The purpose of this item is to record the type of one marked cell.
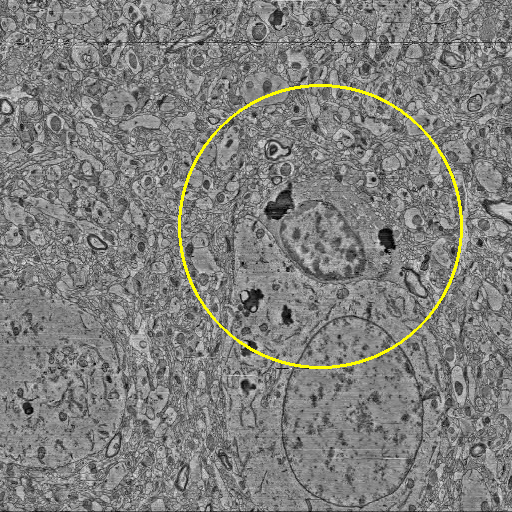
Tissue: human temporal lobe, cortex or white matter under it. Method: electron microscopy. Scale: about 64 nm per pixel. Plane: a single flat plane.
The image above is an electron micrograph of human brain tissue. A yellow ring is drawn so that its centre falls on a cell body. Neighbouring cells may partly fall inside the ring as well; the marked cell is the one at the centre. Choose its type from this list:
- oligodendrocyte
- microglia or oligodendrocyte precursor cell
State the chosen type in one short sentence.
What the ring marks here is an oligodendrocyte.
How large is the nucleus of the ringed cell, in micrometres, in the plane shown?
In this plane, about 6 micrometres in length and 5 in width.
